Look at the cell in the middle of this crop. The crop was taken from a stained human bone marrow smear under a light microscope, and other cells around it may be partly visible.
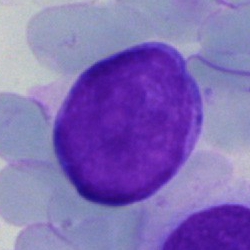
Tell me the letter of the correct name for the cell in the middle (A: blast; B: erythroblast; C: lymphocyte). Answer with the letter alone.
A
